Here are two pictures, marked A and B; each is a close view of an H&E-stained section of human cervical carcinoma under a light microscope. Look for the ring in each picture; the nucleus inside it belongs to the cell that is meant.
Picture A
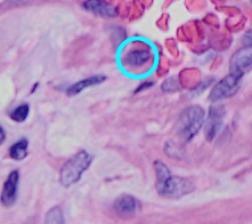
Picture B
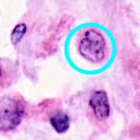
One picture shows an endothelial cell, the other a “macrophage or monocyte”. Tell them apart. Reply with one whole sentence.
Picture A is of an endothelial cell, and picture B is of a “macrophage or monocyte”.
